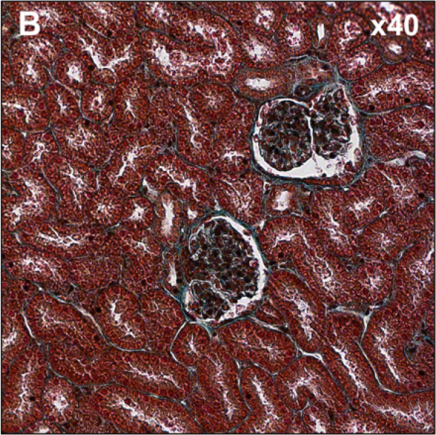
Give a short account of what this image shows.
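This is a section of kidney cortex packed with tubules whose epithelium stains deep red, separated by fine blue-green strands of connective tissue, with two rounded glomeruli near the upper right and centre. The tubules are closely apposed and have tall epithelial cells with small dark nuclei around narrow, irregular lumens. The glomeruli show dense tufts of capillaries with many dark nuclei, each surrounded by a thin clear space and a capsule outlined in blue-green. No tubule here has a widened, empty lumen or a thinned epithelial lining. The architecture looks regular, without the tubular changes seen in injured kidney.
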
